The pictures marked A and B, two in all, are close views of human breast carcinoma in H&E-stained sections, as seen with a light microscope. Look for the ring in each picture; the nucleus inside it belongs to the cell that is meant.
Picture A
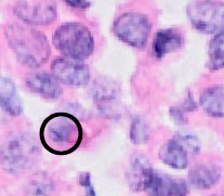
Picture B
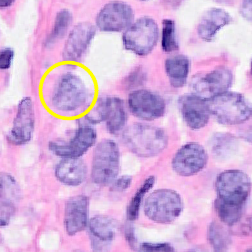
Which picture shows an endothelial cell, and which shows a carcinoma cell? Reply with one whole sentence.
Picture B shows a carcinoma cell, while picture A shows an endothelial cell.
